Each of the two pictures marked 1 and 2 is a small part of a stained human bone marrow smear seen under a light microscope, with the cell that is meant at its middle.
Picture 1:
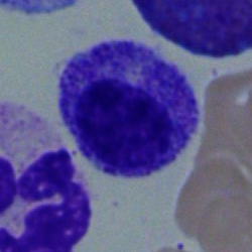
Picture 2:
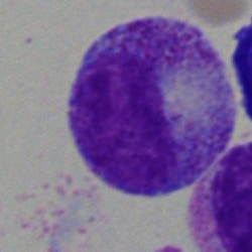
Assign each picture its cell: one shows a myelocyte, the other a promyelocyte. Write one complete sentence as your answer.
Picture 1 is of a myelocyte, and picture 2 is of a promyelocyte.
